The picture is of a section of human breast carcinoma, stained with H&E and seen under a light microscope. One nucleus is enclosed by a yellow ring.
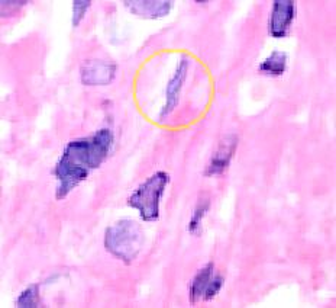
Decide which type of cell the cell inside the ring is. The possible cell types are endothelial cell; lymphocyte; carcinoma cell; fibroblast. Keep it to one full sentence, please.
Cell type answer for this item: the cell inside the ring is a fibroblast.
